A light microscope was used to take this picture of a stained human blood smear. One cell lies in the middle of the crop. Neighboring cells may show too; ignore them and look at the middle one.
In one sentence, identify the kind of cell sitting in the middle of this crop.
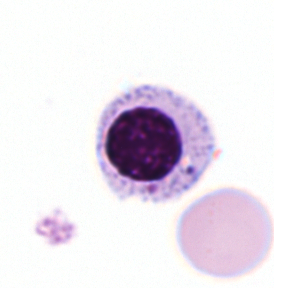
The centrally placed cell is classified as a normoblast.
